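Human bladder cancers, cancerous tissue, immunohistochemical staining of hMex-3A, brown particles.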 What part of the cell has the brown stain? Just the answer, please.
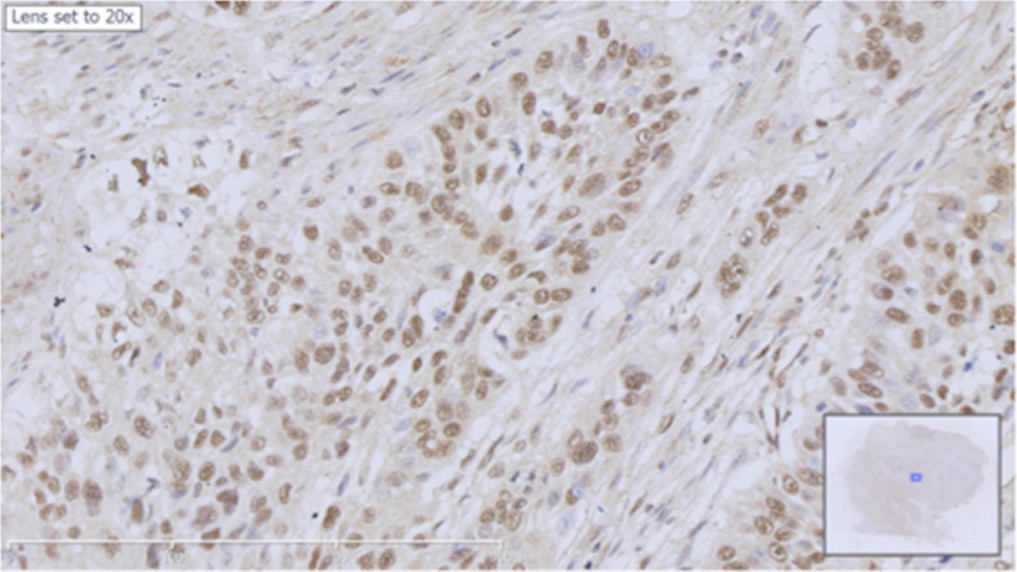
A: Nuclei.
